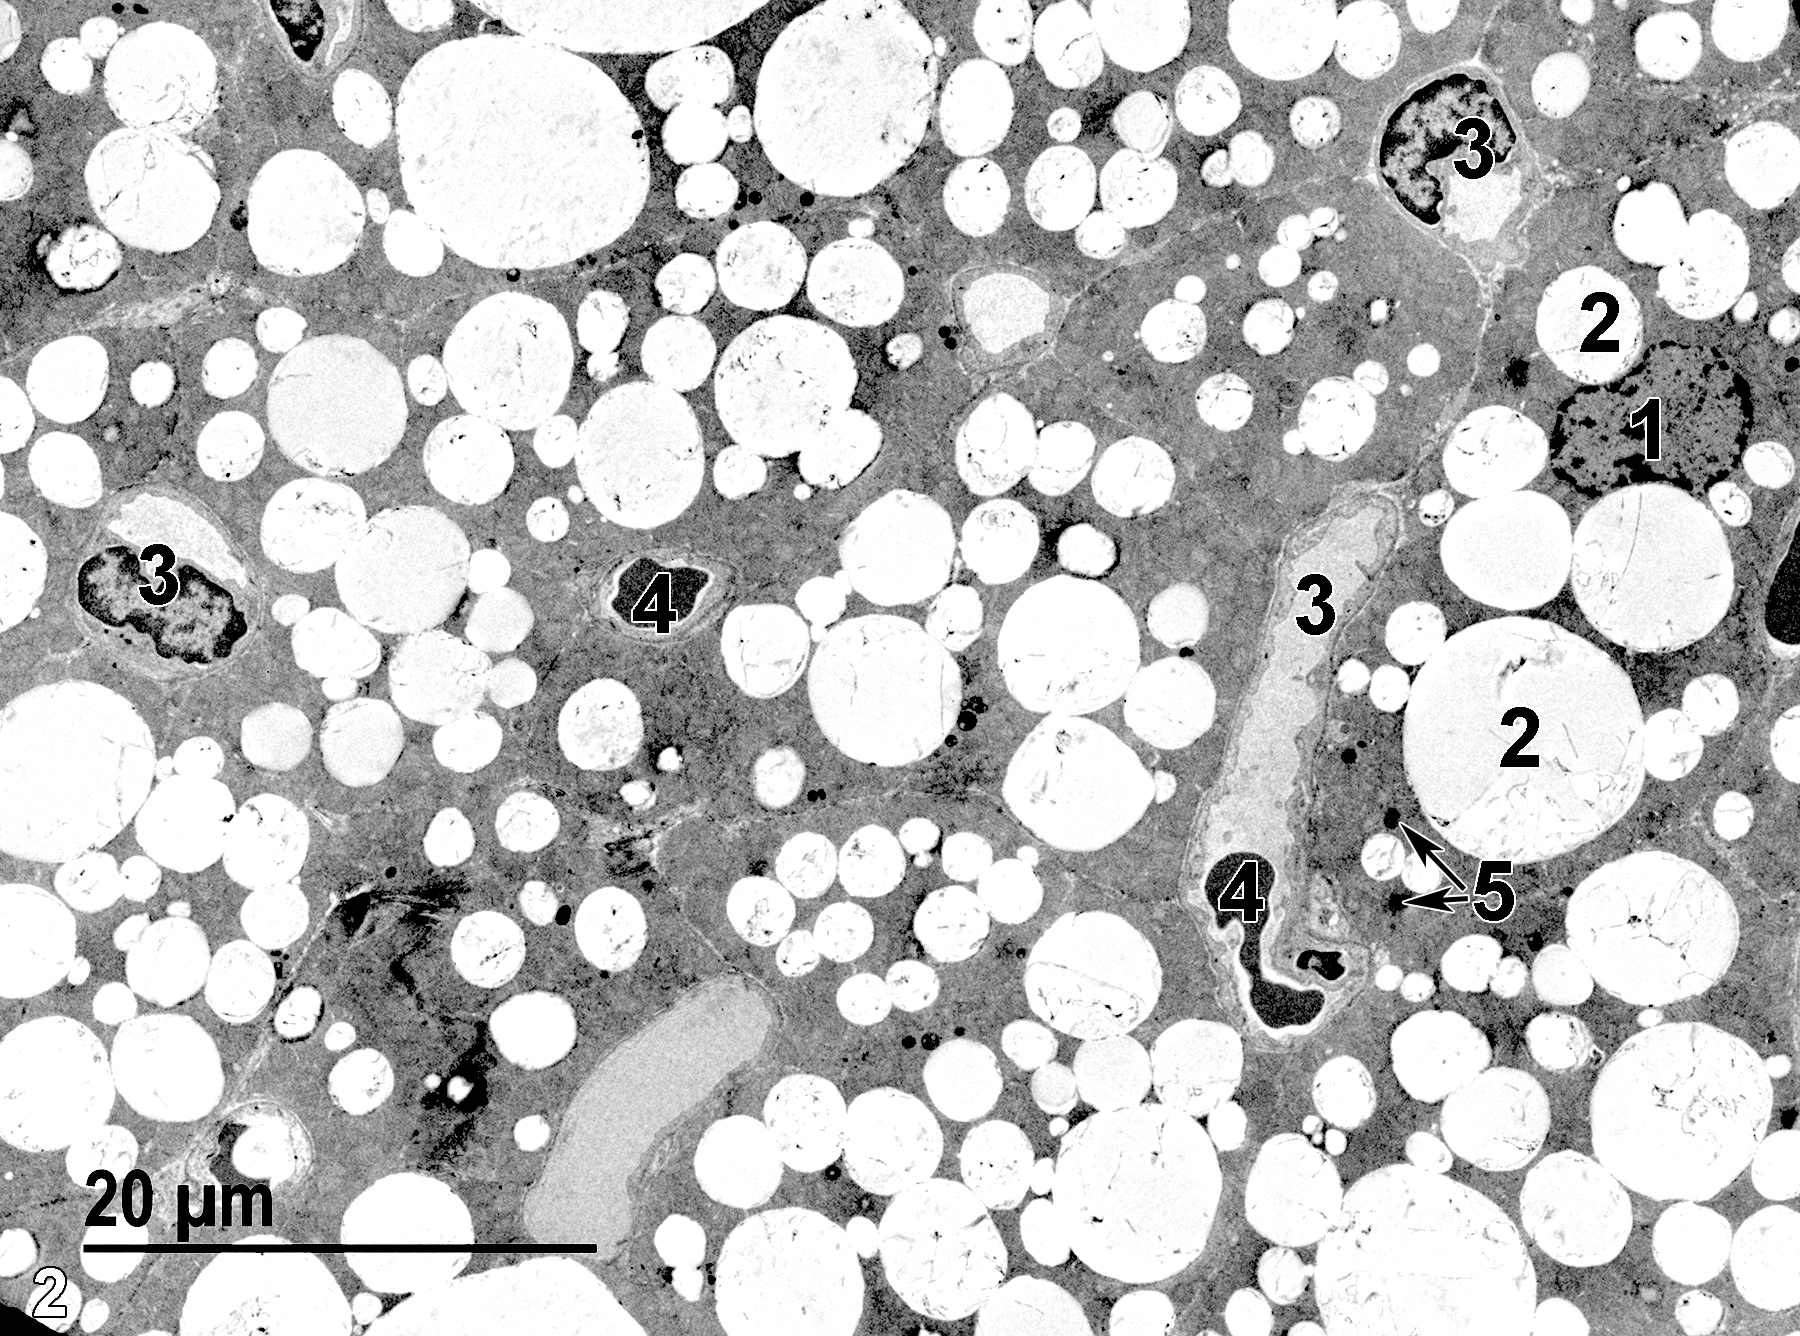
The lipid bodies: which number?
It's 2.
